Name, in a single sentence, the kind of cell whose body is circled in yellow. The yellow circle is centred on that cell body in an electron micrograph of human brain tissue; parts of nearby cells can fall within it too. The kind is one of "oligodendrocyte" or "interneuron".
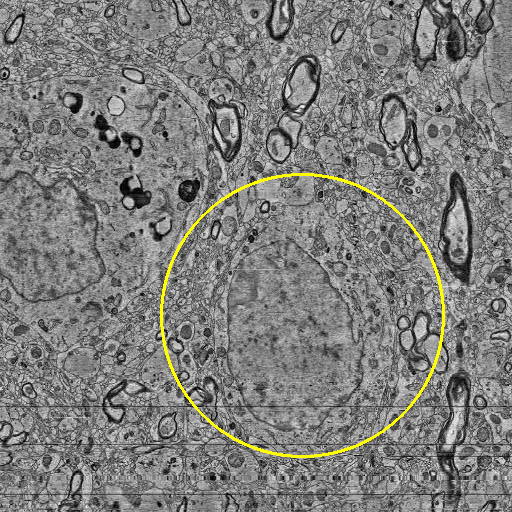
The circled cell body belongs to an interneuron.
